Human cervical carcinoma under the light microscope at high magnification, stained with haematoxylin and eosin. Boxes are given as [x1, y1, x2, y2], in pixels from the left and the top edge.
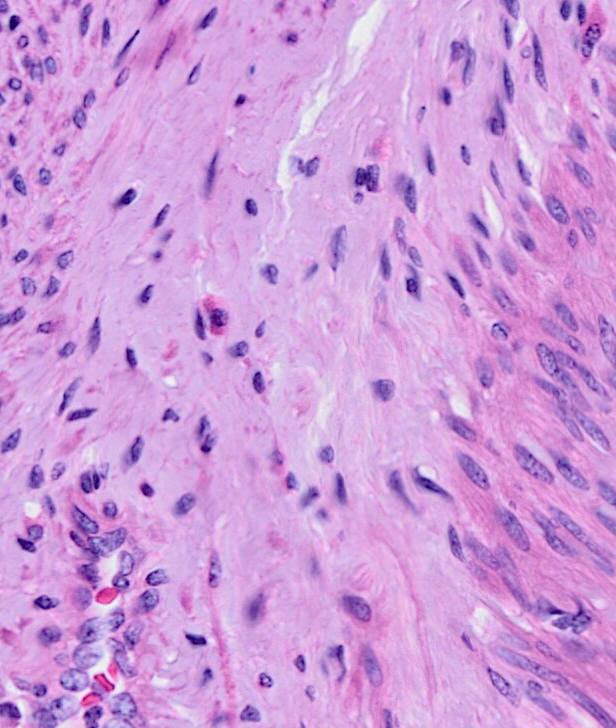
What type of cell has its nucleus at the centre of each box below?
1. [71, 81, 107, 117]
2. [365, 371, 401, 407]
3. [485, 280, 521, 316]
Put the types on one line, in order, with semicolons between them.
smooth muscle cell; fibroblast; smooth muscle cell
